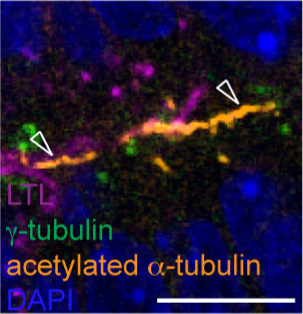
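A proximal tubule is seen with a band of magenta puncta running between blue nuclei of the lining cells. Long slender orange rods, primary cilia, extend along the band. Small green dots sit at the base of the rods. The nuclei lie at either side of the lumen.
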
